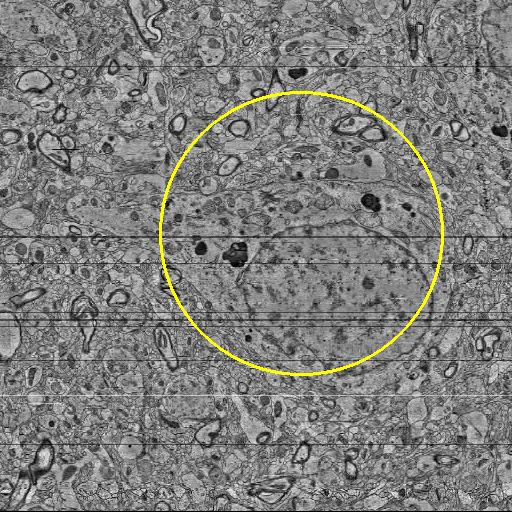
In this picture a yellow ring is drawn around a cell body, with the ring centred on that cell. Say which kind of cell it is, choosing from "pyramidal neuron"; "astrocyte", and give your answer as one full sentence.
Here it is a pyramidal neuron that sits at the centre of the drawn yellow ring.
